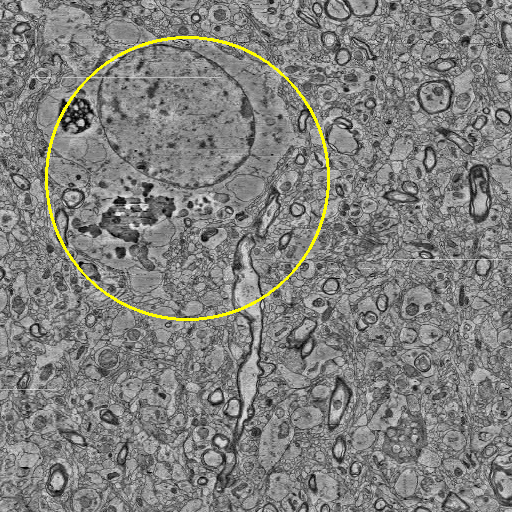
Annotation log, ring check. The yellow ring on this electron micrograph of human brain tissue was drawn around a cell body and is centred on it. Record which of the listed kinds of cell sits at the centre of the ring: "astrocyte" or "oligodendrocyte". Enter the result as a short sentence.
The cell at the centre of the ring is an astrocyte.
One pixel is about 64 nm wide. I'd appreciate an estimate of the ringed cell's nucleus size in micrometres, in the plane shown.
Roughly 11 micrometres by 9 micrometres, in this plane.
